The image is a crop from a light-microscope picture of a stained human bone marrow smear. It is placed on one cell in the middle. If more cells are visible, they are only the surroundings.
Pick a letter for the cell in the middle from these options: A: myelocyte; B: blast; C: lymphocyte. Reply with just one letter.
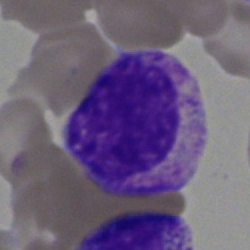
A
